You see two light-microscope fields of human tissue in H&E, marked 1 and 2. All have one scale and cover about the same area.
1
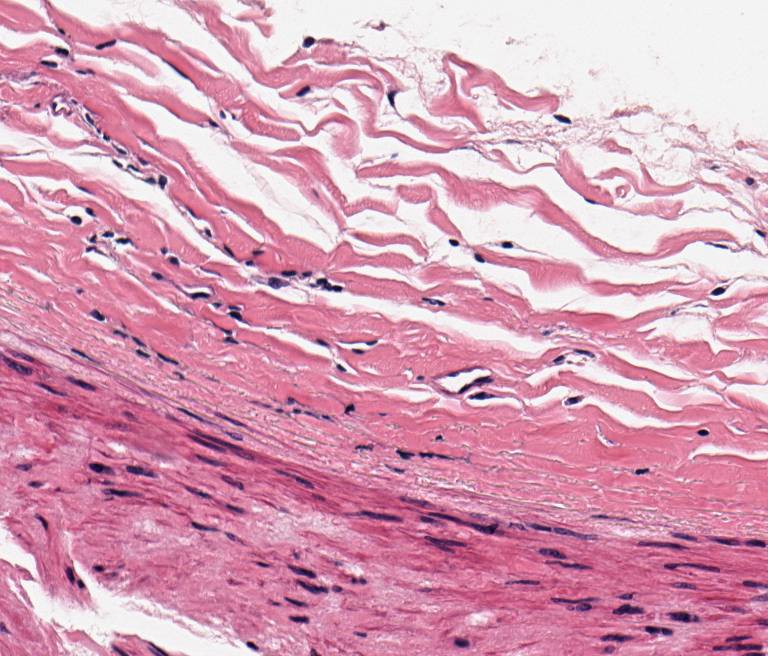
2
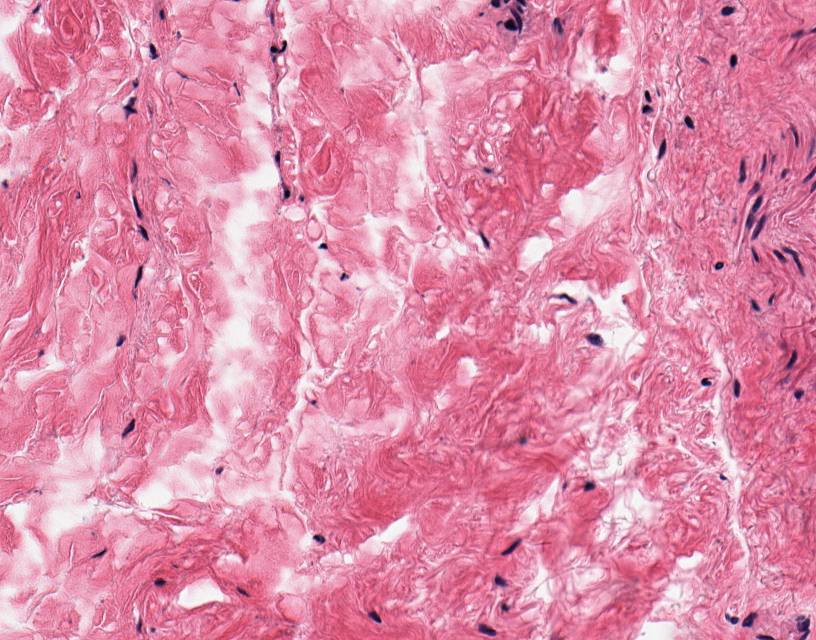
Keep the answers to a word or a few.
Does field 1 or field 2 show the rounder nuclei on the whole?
2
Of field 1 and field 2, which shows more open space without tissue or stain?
1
